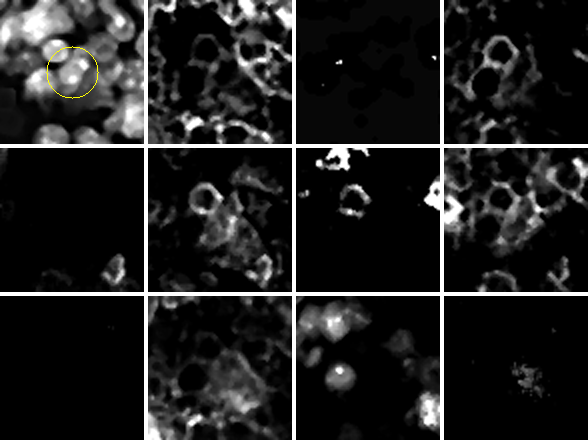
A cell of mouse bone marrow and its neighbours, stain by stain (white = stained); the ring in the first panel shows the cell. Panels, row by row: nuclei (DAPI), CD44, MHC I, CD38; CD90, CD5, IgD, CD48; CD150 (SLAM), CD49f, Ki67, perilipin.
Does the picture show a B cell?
No, it shows a monocyte.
